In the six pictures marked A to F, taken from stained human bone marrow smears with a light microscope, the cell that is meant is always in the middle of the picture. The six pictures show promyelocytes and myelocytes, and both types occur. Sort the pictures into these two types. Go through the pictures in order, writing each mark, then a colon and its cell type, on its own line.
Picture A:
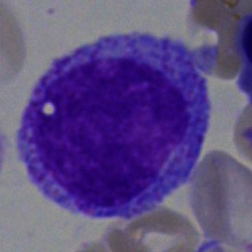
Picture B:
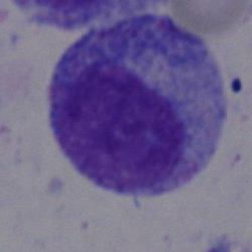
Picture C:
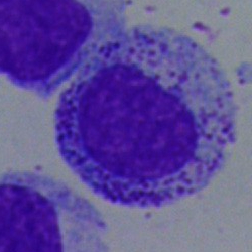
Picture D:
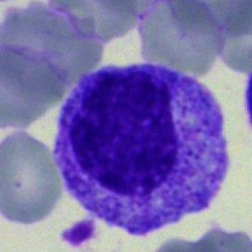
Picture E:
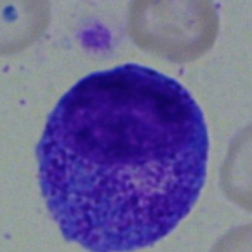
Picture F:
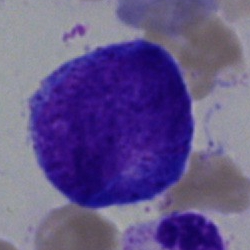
A: promyelocyte
B: promyelocyte
C: myelocyte
D: myelocyte
E: promyelocyte
F: promyelocyte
